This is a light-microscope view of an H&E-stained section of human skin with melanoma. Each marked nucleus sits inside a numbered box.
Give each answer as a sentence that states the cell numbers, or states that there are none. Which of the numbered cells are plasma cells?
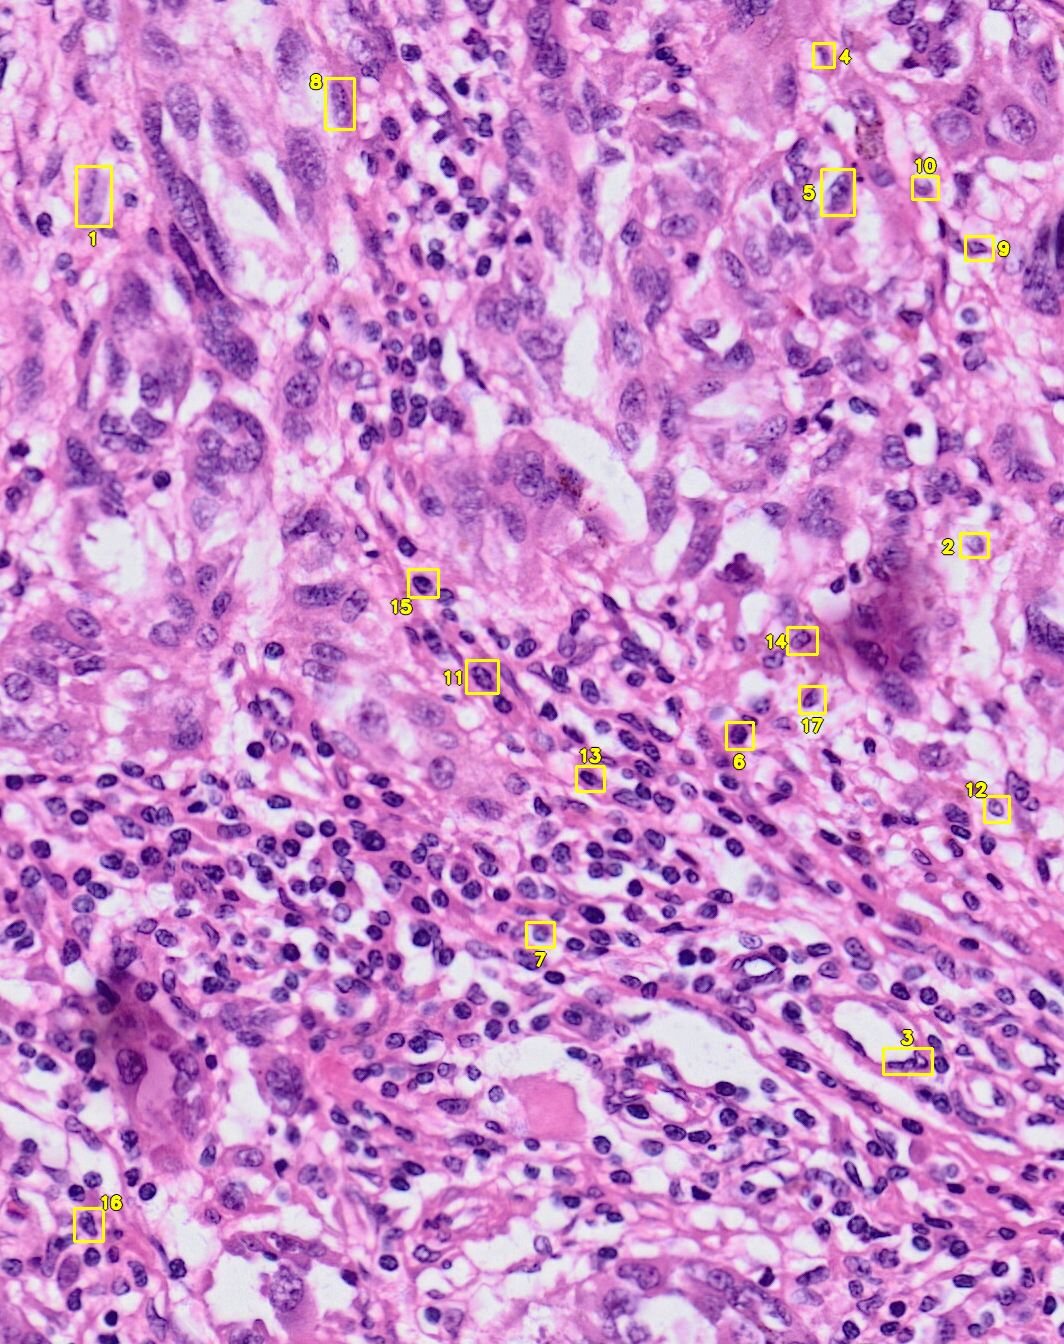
The cells that have been numbered 6, 11 and 13 are plasma cells.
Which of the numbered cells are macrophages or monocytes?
In short, the numbered cells 2, 4, 9, 10, 14 and 17 are macrophages or monocytes.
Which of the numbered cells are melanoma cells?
Here, the cells that carry numbers 5 and 8 are melanoma cells.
